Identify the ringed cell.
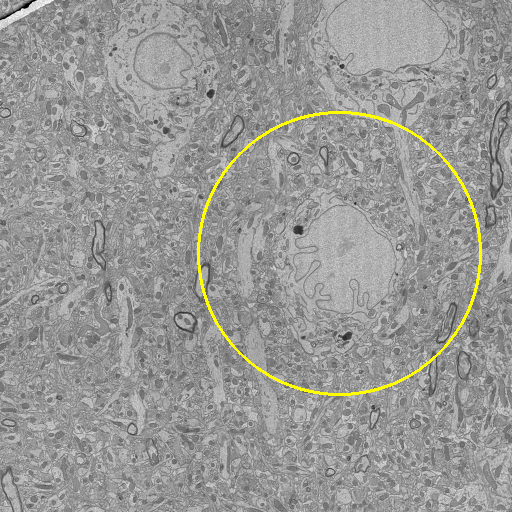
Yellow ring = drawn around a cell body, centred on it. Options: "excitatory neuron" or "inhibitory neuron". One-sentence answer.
What the ring is centred on is an inhibitory neuron.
